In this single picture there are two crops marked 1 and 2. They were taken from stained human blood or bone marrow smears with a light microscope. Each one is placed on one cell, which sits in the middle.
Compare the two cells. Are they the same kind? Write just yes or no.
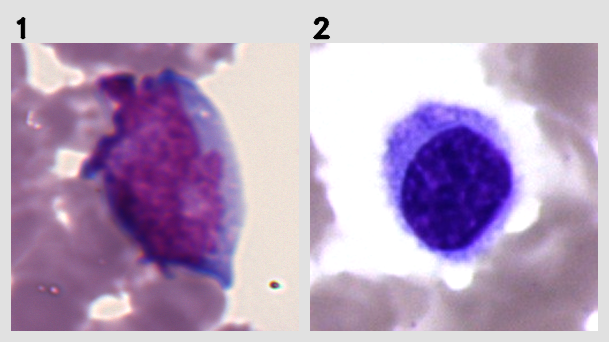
no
